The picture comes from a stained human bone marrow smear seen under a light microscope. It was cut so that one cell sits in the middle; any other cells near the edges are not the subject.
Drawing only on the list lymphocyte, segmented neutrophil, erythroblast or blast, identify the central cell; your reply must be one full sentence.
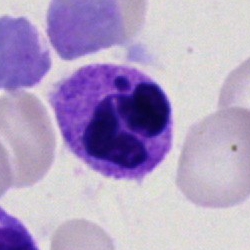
The cell at the middle of the crop is recognized as a segmented neutrophil.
